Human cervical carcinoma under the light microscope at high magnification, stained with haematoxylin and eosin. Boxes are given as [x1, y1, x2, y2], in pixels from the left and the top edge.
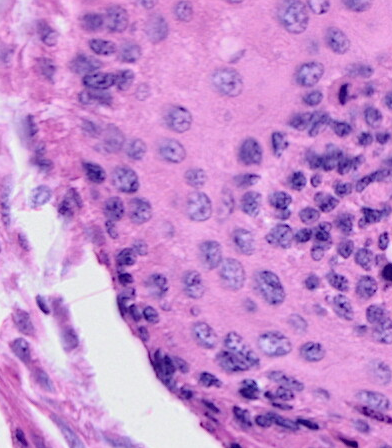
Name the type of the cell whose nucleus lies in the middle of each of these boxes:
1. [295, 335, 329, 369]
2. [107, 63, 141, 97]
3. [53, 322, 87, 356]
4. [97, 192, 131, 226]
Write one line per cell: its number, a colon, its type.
1: squamous carcinoma cell
2: squamous carcinoma cell
3: fibroblast
4: squamous carcinoma cell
